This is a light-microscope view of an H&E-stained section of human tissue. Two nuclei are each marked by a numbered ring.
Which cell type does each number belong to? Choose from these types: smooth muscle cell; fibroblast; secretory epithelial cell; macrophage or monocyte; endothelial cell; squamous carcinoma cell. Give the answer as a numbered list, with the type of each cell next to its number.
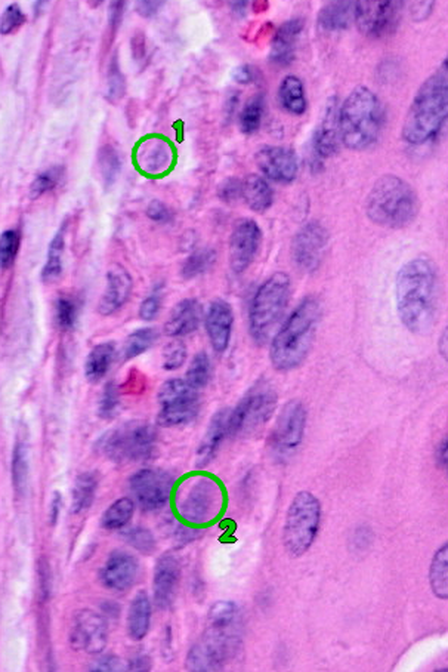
1. fibroblast
2. squamous carcinoma cell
